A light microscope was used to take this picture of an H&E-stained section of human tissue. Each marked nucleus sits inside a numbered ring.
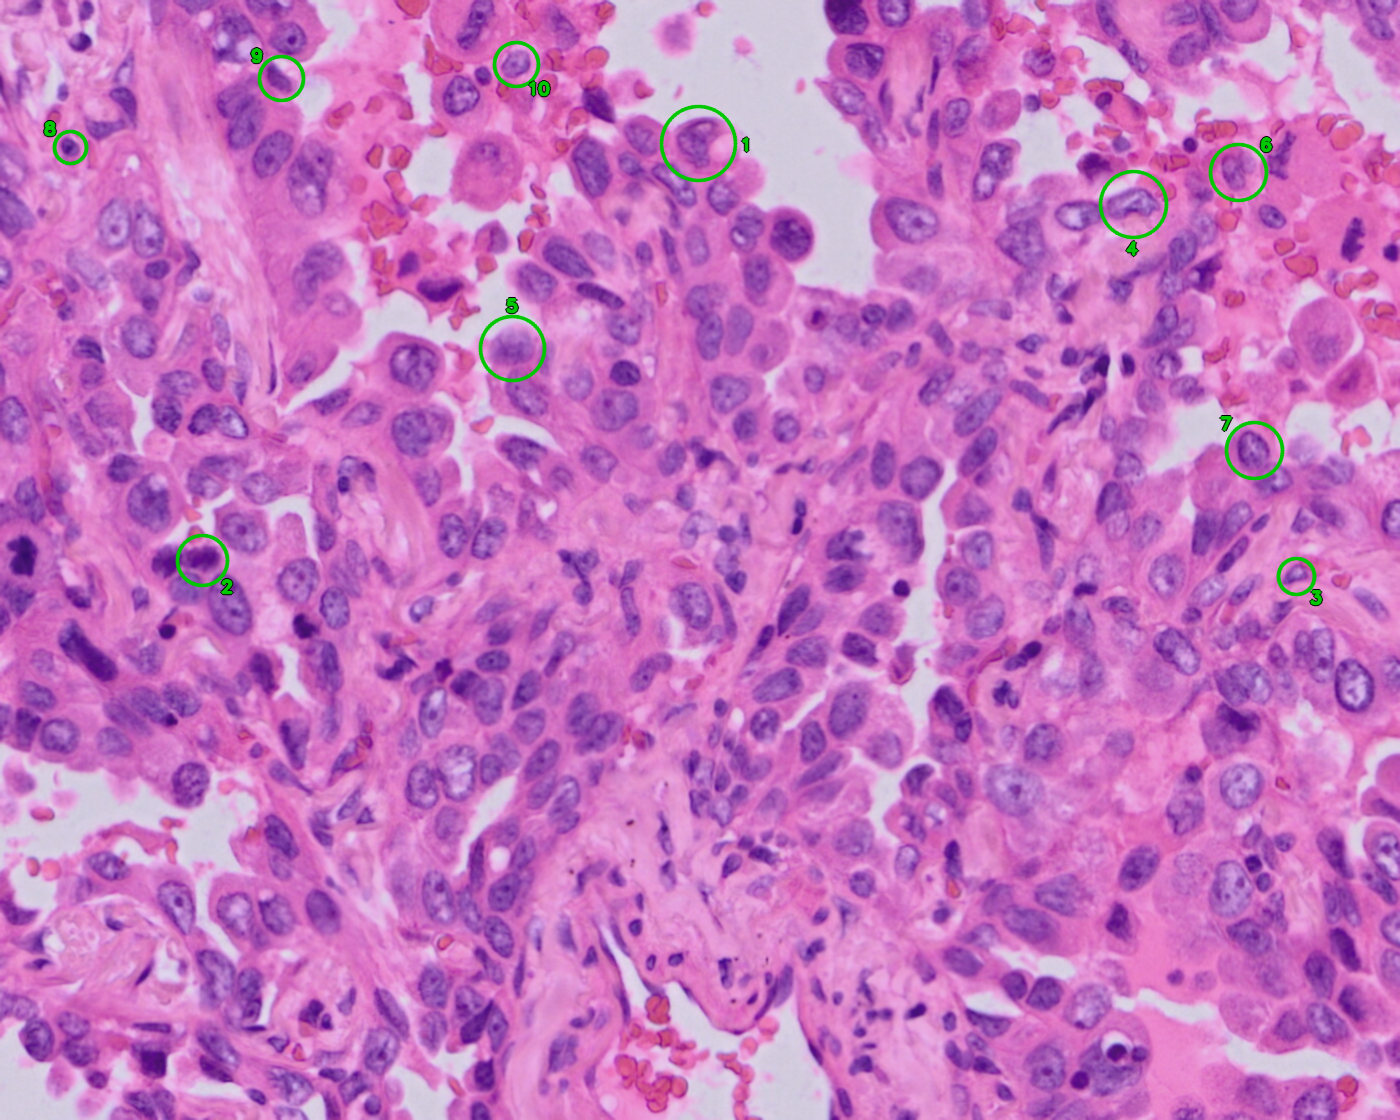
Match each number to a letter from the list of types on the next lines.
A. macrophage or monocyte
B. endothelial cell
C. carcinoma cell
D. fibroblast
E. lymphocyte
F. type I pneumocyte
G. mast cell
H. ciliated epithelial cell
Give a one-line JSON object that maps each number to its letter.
{"1": "C", "2": "C", "3": "B", "4": "C", "5": "C", "6": "A", "7": "C", "8": "E", "9": "C", "10": "A"}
